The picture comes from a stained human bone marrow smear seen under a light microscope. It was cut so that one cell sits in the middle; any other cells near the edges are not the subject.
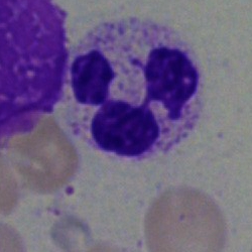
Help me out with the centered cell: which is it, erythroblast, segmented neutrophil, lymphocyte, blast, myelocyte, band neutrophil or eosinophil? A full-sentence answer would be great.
The cell at the middle of the crop is recognized as a segmented neutrophil.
